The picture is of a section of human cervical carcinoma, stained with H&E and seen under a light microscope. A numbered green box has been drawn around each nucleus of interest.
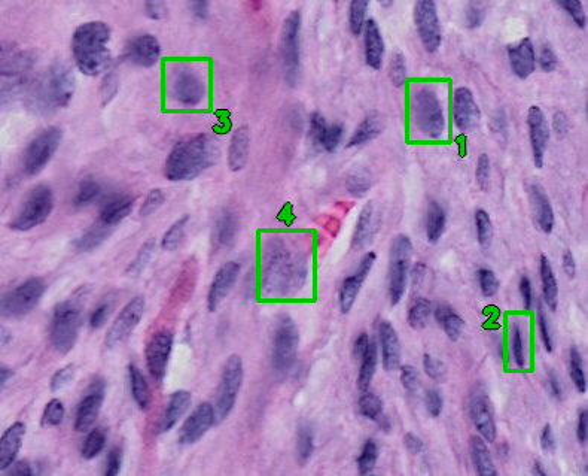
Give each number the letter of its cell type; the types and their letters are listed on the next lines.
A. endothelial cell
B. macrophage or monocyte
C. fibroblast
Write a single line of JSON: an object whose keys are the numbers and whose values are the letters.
{"1": "C", "2": "C", "3": "C", "4": "A"}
